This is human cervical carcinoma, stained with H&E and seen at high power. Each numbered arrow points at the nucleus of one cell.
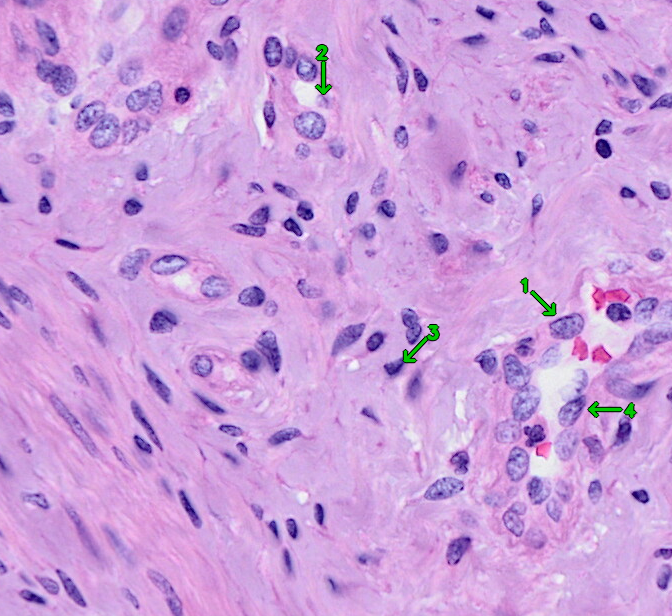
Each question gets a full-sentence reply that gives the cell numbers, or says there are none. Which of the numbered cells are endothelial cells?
Marked by the numbers 1, 2 and 4 are cells that are endothelial cells.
